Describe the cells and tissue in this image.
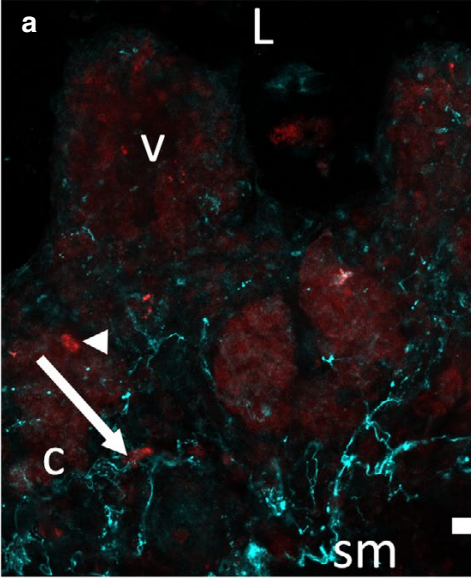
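This is the mucosa of the small intestine, with two villi projecting up toward the dark lumen and crypts clustered at their base, above the submucosa. The epithelium shows a faint, diffuse red background, while a few small cells stand out as compact bright red bodies, some lying near the crypts. The thickest bundles of these threads lie toward the bottom, near the submucosa.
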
